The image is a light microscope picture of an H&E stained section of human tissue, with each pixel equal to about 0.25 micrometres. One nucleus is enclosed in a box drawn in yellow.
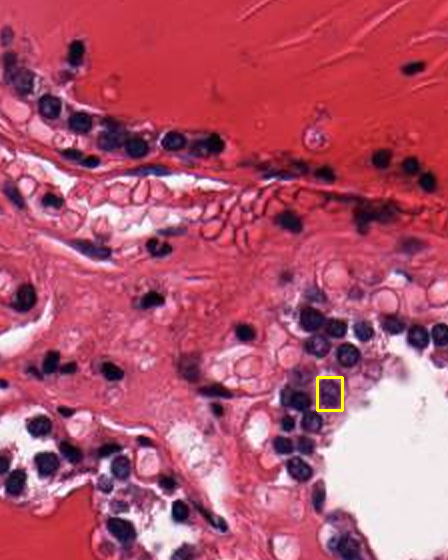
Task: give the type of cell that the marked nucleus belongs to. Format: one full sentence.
The mark in this picture falls on the nucleus of a thyroid follicular cell.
